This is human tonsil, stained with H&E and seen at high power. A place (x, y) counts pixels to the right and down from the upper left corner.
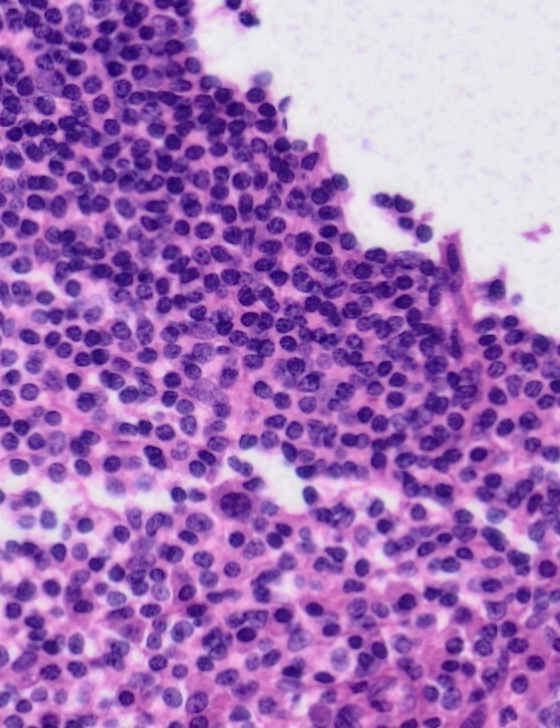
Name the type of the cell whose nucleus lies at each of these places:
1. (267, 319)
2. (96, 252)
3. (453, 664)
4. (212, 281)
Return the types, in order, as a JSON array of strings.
["small lymphocyte", "small lymphocyte", "plasma cell", "small lymphocyte"]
